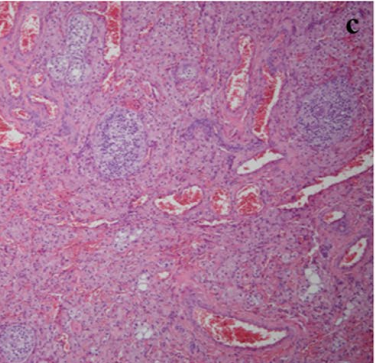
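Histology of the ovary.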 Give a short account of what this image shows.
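This section shows ovarian tissue made up largely of fibrous stroma, within which a few rounded follicle-like structures lie scattered. Numerous blood vessels of various sizes run through it, many filled with red blood cells. The rounded structures are compact clusters of small cells with purple nuclei and show no fluid-filled cavity. Normal developing follicles with clear layered walls are not evident.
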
